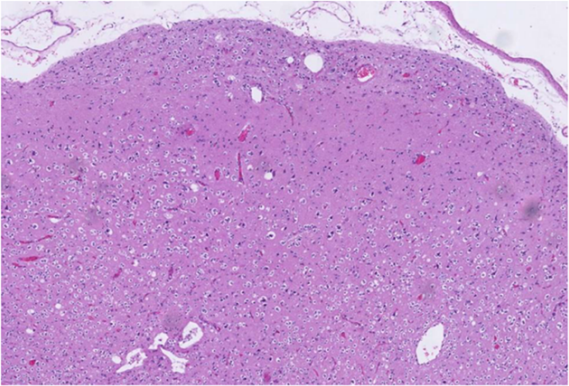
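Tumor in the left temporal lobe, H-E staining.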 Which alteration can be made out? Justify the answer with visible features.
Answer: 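Subpial extension. Cellular tissue reaches right up to the thin membrane at the brain surface.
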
